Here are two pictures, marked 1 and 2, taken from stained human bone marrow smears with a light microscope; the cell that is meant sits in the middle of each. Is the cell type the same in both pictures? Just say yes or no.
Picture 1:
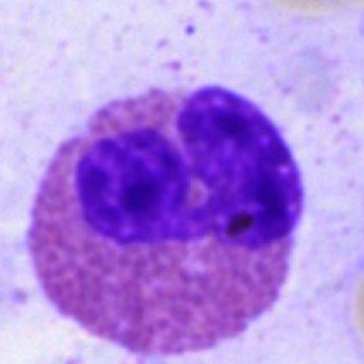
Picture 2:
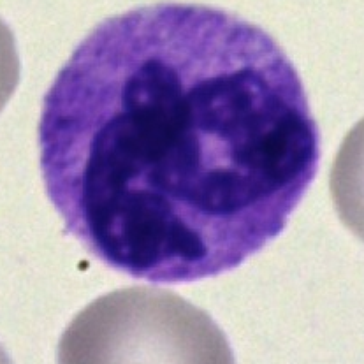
no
